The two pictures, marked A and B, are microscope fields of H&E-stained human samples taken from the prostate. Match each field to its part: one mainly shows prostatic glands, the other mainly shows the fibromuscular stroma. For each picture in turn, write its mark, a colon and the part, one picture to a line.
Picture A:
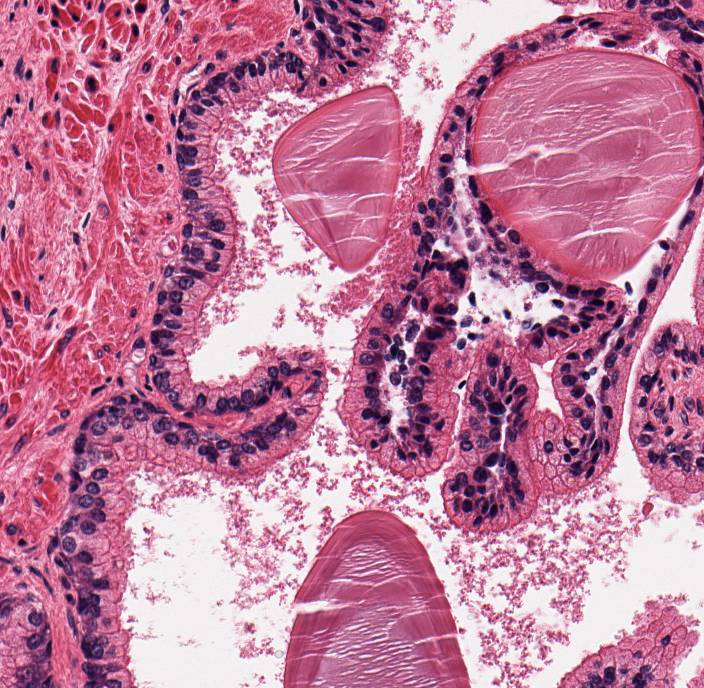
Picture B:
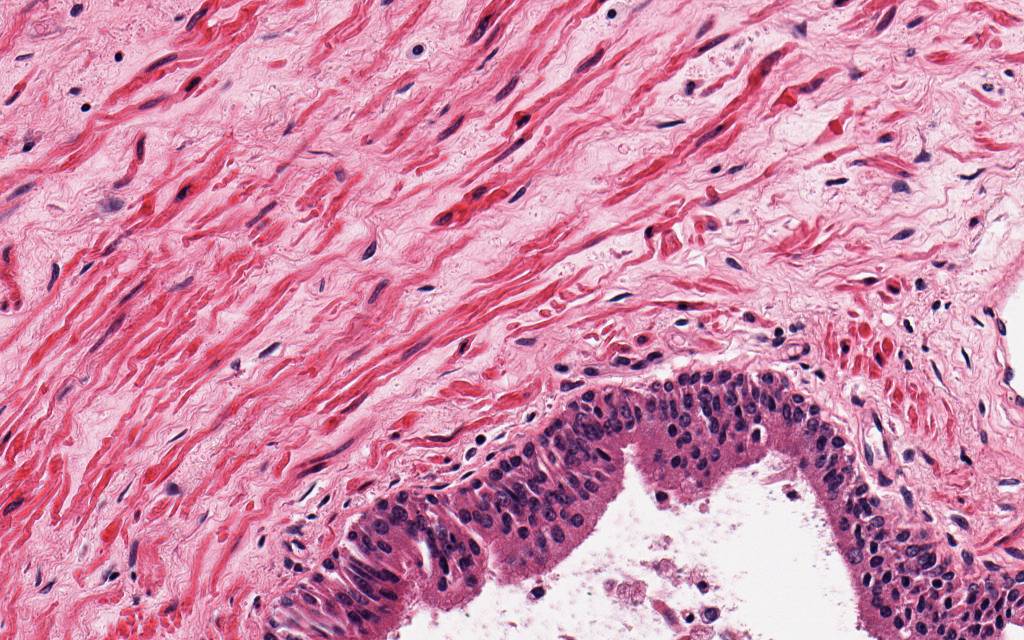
A: prostatic glands
B: fibromuscular stroma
